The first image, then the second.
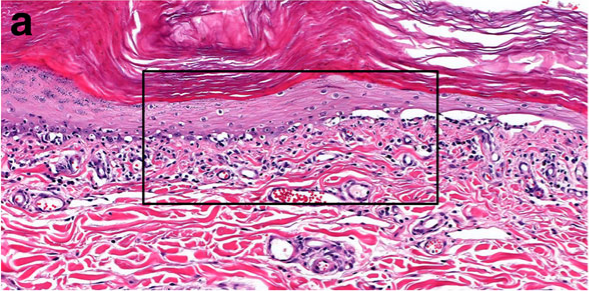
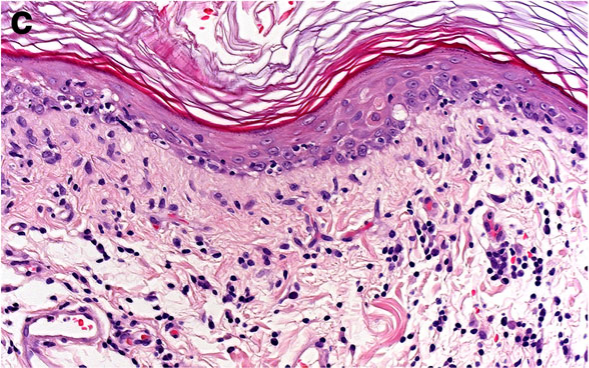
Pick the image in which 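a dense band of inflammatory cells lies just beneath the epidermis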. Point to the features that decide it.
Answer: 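The first image. Second image: small dark nuclei are scattered loosely through pale dermis without a band. First image: small dark nuclei crowd the upper dermis in a band under the epidermis.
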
